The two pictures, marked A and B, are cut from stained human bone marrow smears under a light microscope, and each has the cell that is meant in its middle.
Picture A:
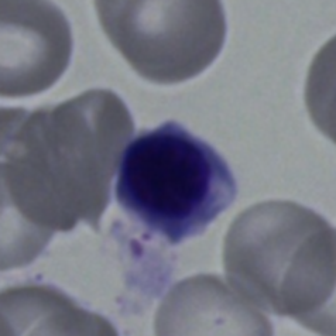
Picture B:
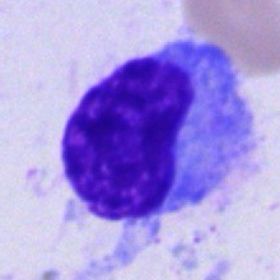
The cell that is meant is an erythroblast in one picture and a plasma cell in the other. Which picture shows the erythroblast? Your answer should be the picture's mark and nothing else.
A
